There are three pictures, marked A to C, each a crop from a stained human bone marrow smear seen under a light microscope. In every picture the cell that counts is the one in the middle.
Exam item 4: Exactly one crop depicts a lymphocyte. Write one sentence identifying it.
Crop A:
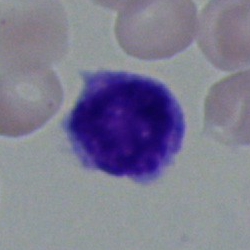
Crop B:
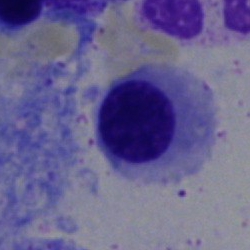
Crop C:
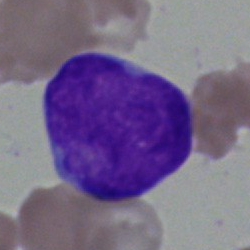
Look at crop A; that is the one with a lymphocyte in its center.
